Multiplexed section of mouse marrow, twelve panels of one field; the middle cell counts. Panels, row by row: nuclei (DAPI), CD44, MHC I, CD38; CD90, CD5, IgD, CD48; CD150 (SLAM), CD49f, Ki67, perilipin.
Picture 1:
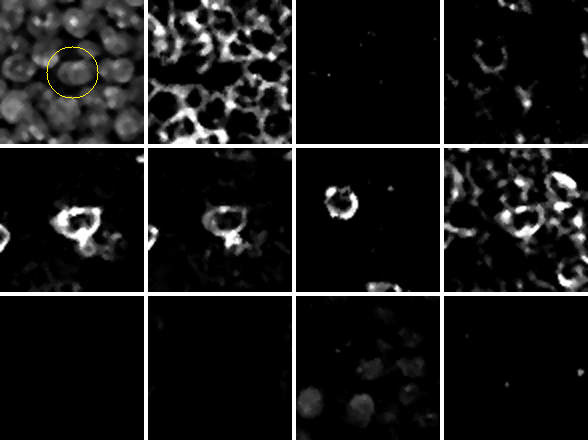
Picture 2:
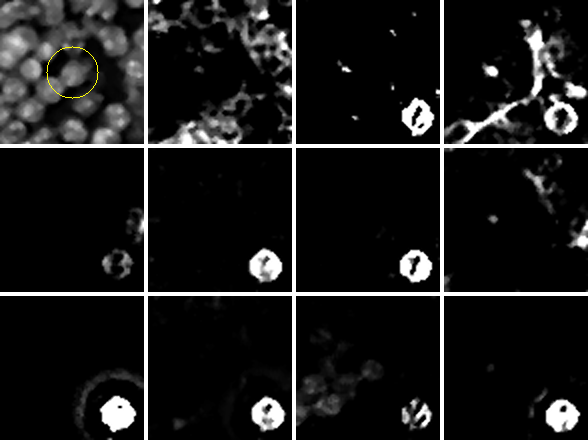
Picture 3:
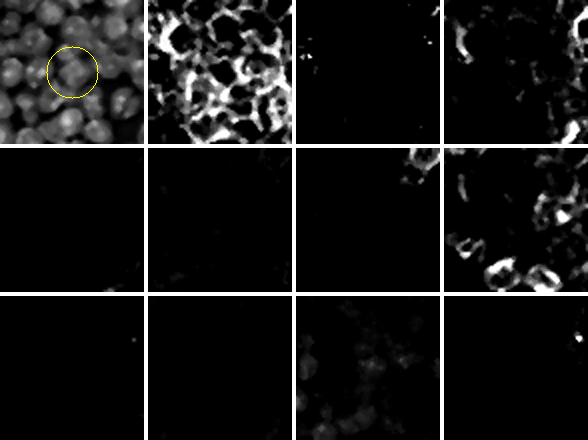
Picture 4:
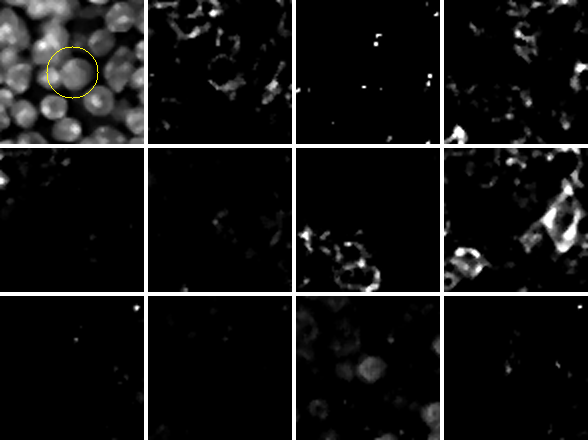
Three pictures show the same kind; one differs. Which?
Picture 1: a T cell, while the others are erythroblasts.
